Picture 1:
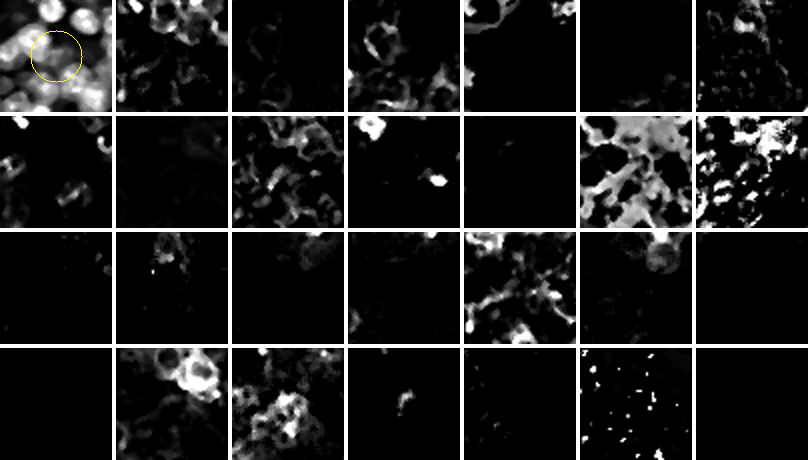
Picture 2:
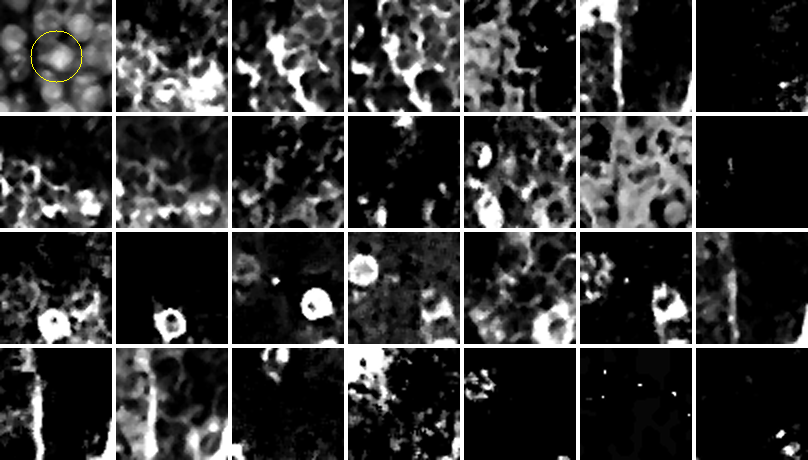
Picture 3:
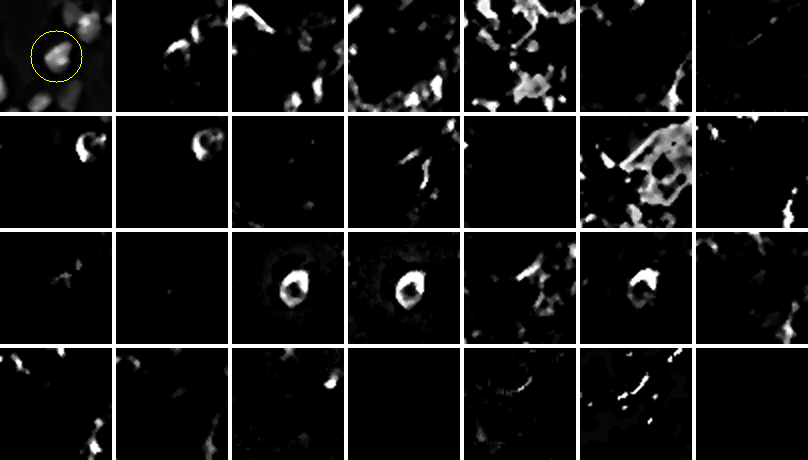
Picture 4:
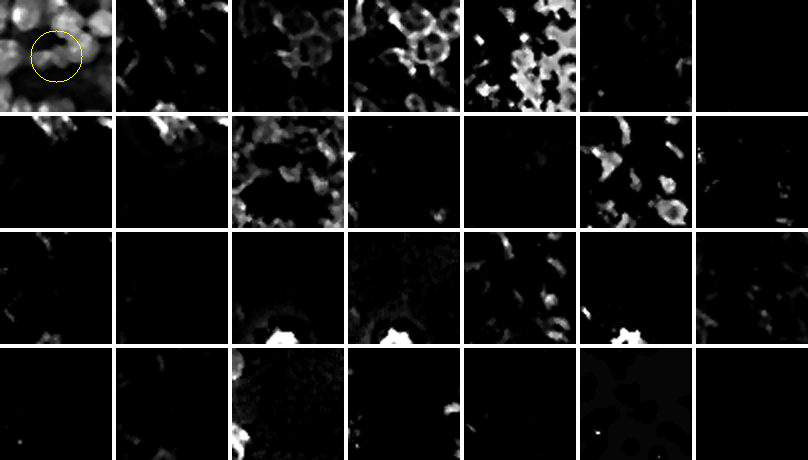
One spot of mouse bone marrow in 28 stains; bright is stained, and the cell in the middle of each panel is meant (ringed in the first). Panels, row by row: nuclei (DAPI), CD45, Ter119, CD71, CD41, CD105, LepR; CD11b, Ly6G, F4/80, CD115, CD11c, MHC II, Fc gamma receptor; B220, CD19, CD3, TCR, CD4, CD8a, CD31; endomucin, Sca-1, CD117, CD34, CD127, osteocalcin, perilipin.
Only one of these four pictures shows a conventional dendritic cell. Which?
Picture 2.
